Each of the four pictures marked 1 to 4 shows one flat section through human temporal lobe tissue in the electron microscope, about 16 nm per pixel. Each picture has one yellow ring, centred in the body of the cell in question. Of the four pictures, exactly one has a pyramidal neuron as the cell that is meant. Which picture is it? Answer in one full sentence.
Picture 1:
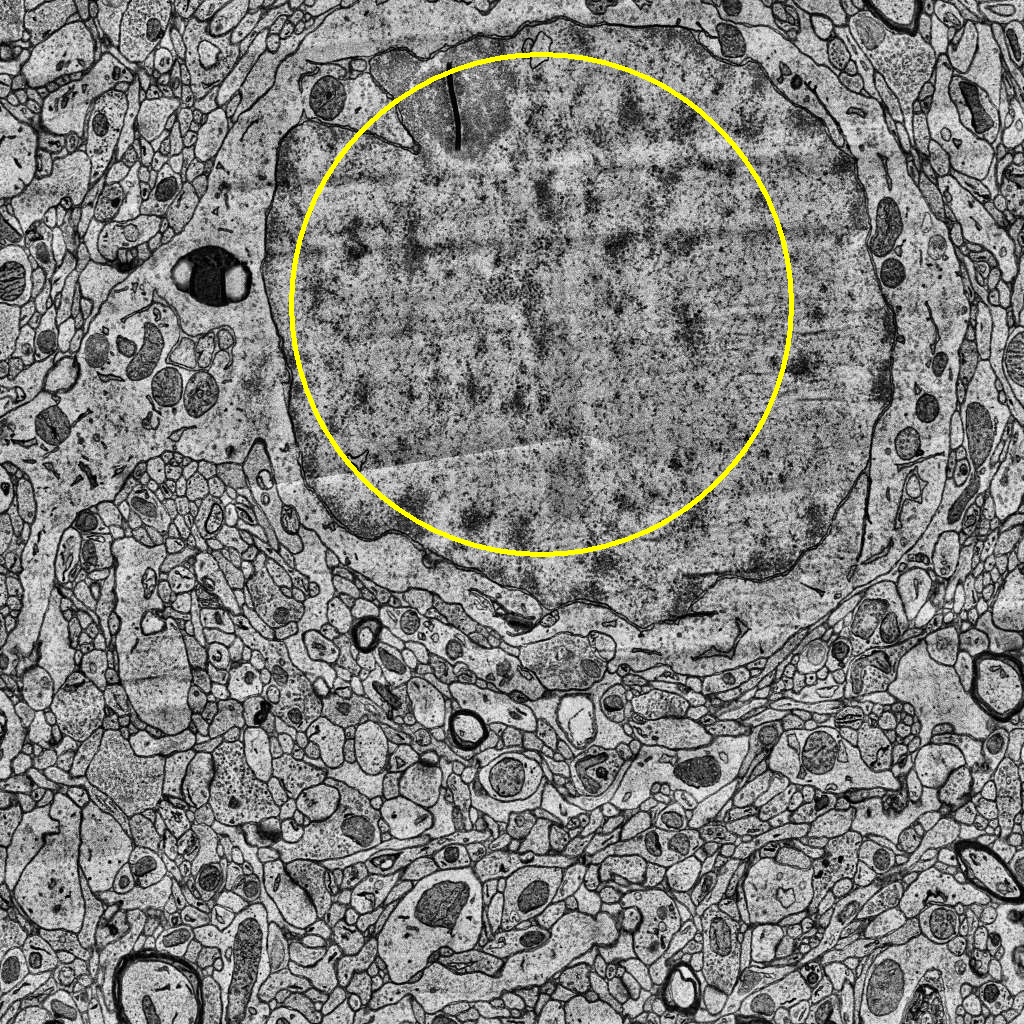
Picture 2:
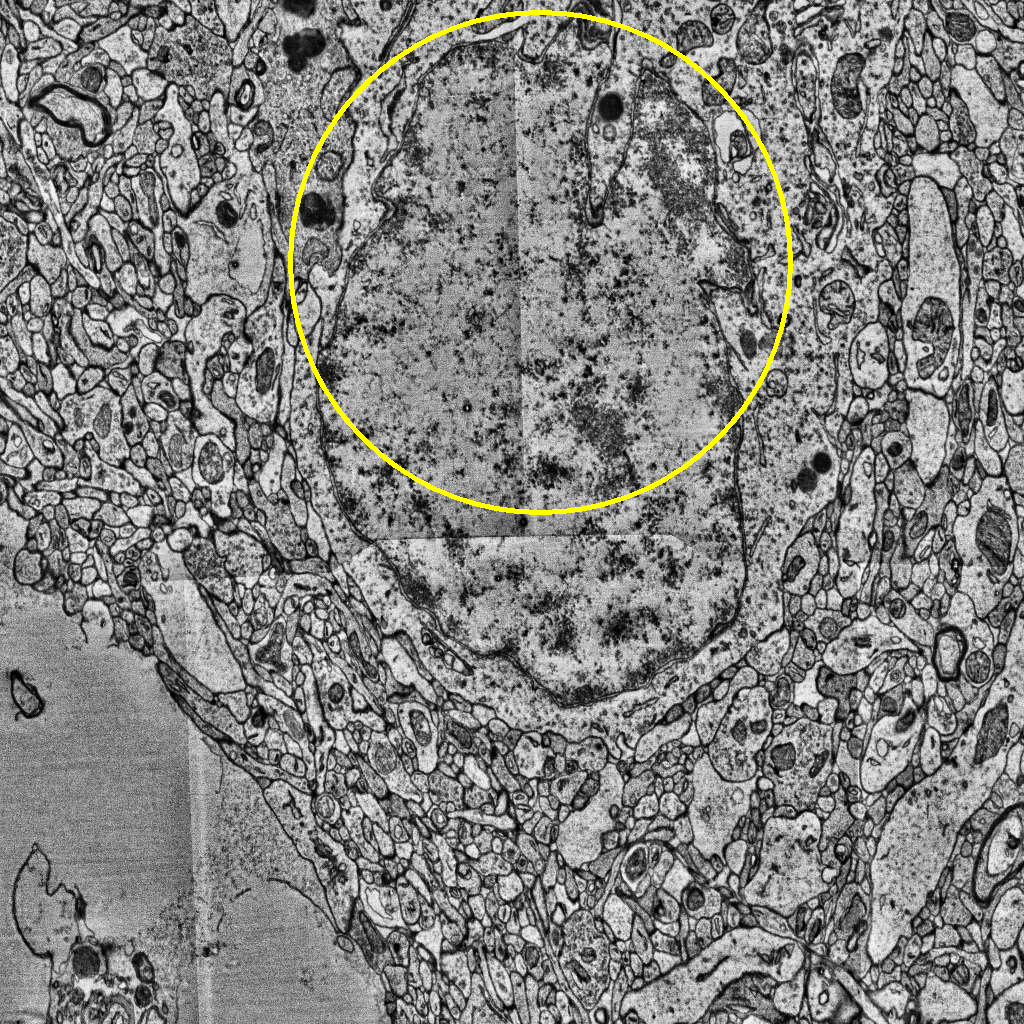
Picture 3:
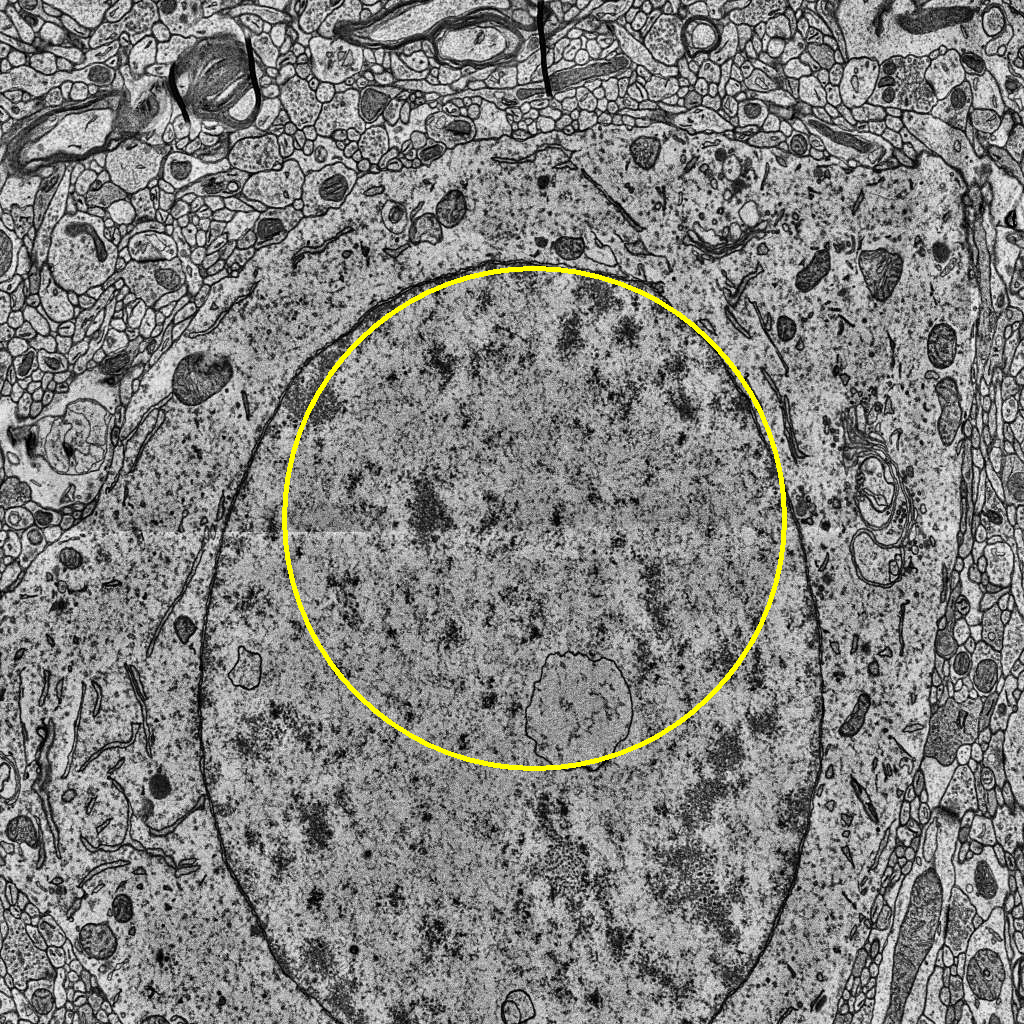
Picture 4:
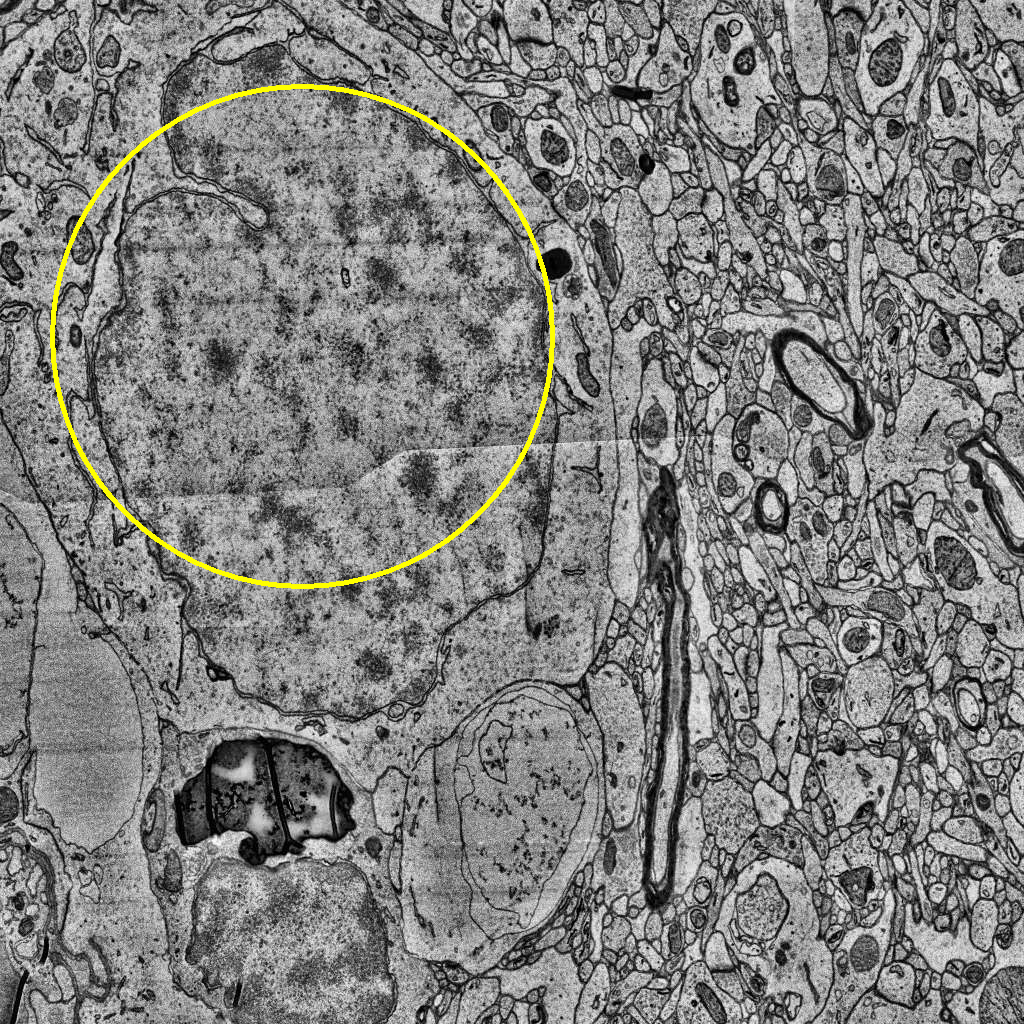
The picture with the pyramidal neuron is 3.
